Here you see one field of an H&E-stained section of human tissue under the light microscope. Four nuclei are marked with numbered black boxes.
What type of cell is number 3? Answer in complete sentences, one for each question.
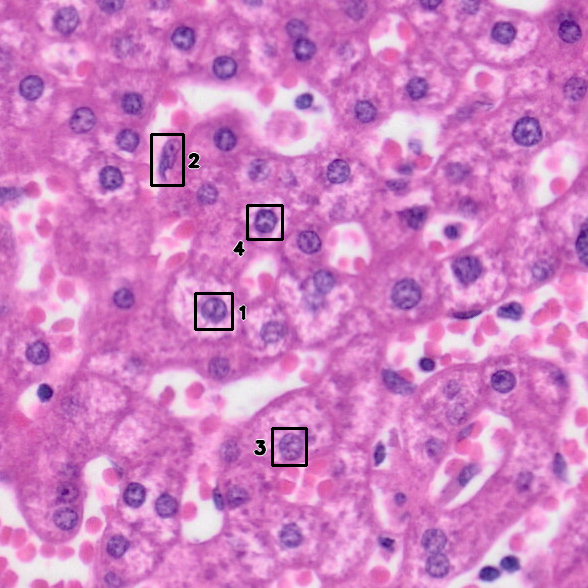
The cell that is numbered 3 is a hepatocyte.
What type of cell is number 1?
Among the marked cells, number 1 is a hepatocyte.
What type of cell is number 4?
The numeral 4 marks a hepatocyte in this section.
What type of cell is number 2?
Corresponding to a Kupffer cell is the cell labelled 2.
